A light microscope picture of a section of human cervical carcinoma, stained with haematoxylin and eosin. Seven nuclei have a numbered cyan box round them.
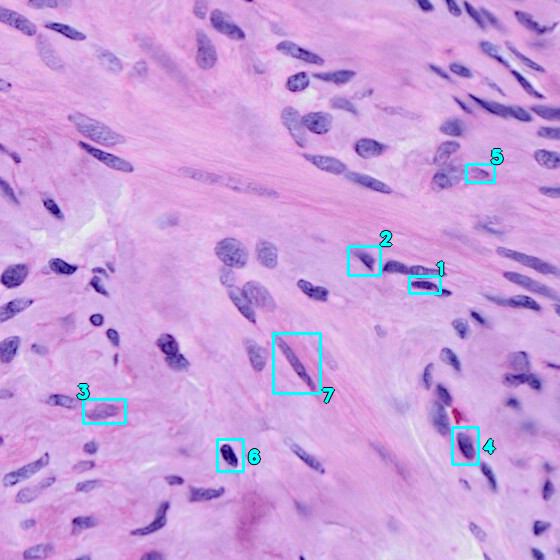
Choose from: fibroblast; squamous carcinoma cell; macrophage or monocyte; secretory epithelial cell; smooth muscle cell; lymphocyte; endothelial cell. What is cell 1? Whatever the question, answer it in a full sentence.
The marked cell with the number 1 is recognised as a fibroblast.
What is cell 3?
The numbered cell 3 is identified here as a smooth muscle cell.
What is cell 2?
The one numbered 2 among the marked cells is a fibroblast.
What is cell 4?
Within this field of view, the cell labelled 4 is an endothelial cell.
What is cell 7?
Here the cell numbered 7 is a smooth muscle cell.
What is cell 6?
The numbered cell 6 in this field is a lymphocyte.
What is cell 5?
Regarding cell 5, this one is a smooth muscle cell.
